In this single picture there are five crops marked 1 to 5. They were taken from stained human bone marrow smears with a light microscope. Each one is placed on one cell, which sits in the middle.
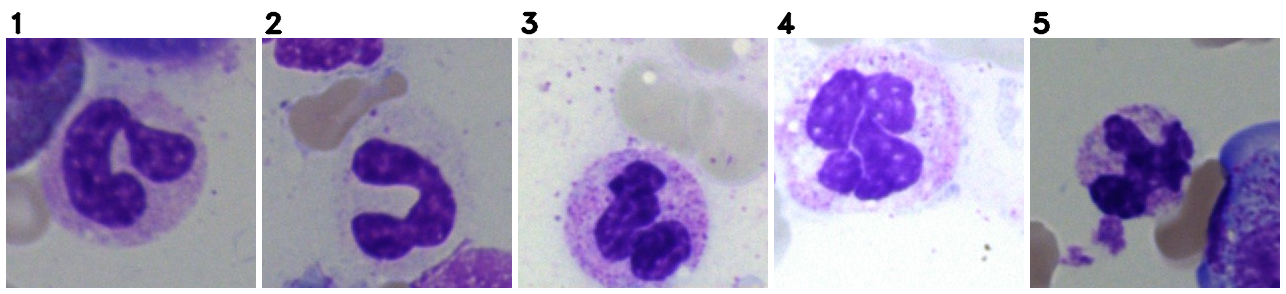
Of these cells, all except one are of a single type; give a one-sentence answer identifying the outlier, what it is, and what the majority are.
As the exception to the segmented neutrophils in the other crops, crop 2 shows a band neutrophil.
